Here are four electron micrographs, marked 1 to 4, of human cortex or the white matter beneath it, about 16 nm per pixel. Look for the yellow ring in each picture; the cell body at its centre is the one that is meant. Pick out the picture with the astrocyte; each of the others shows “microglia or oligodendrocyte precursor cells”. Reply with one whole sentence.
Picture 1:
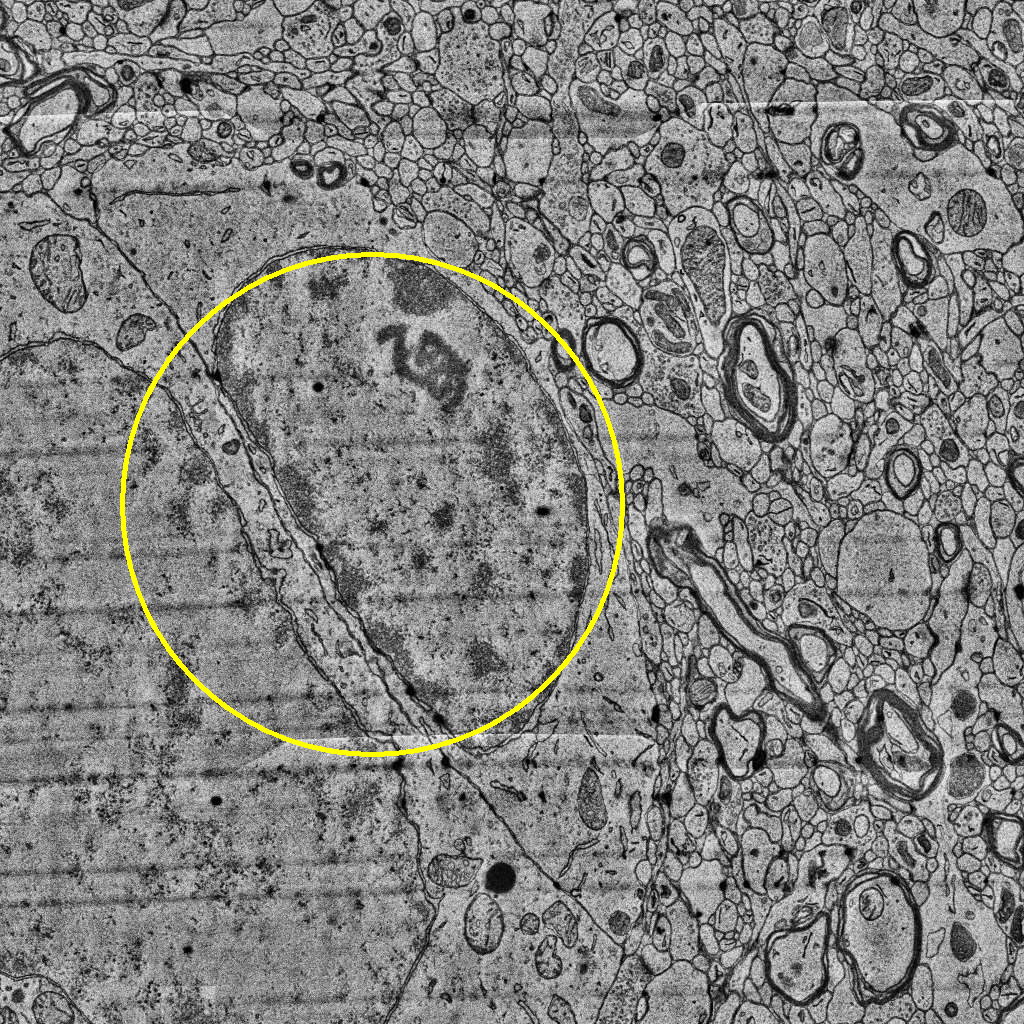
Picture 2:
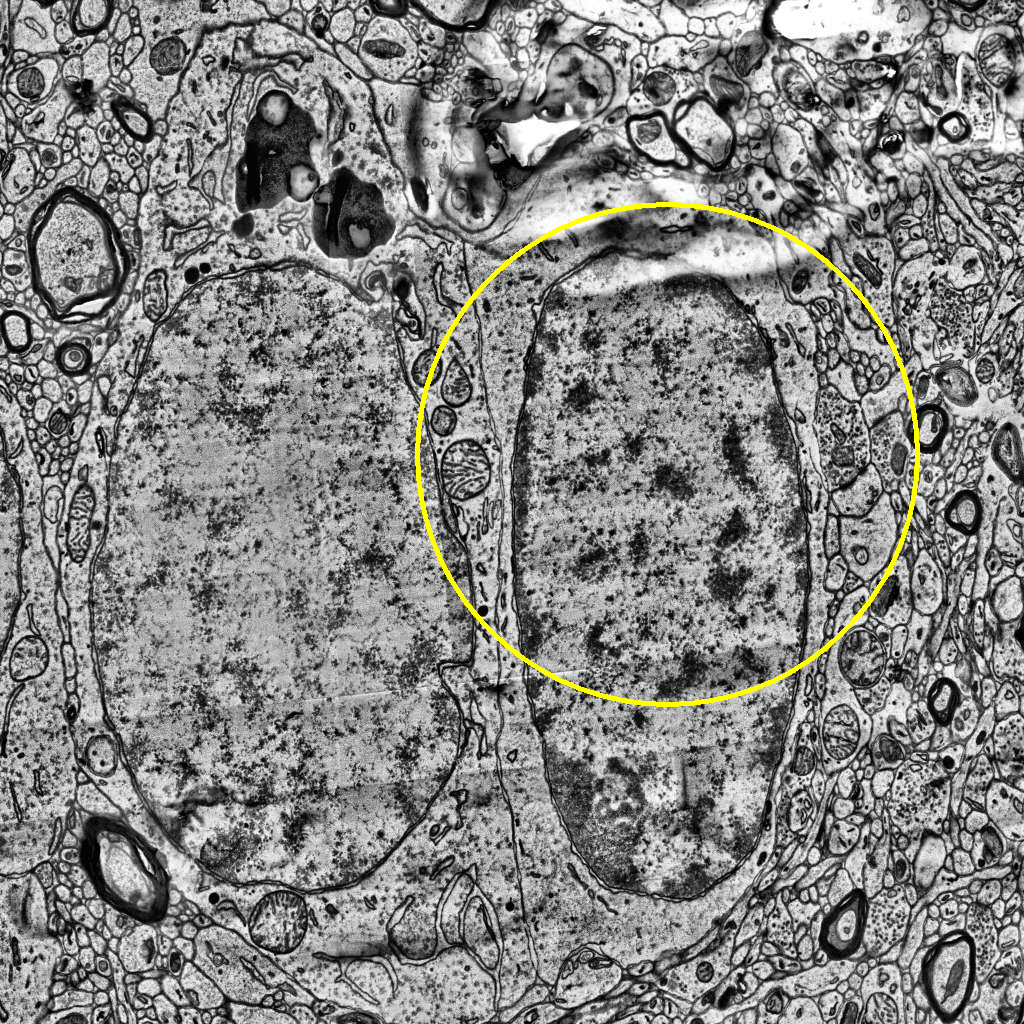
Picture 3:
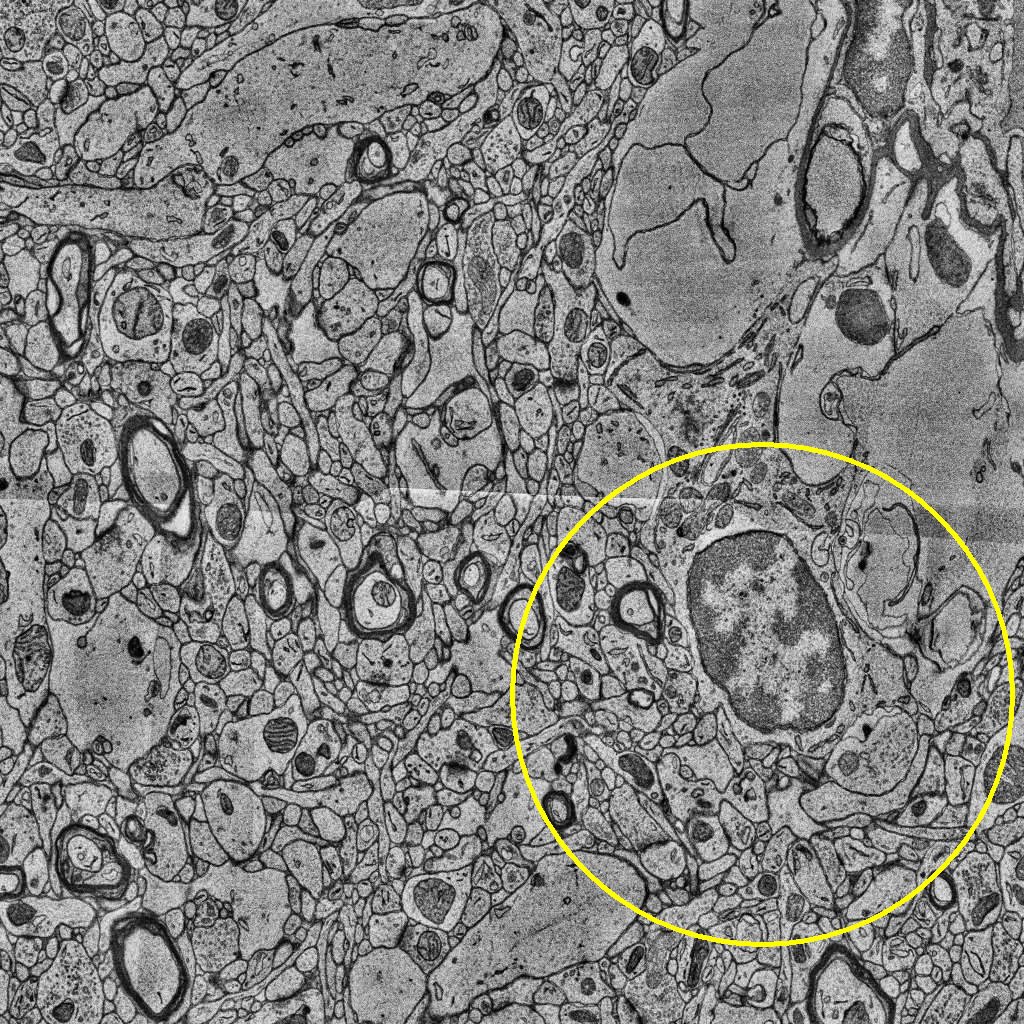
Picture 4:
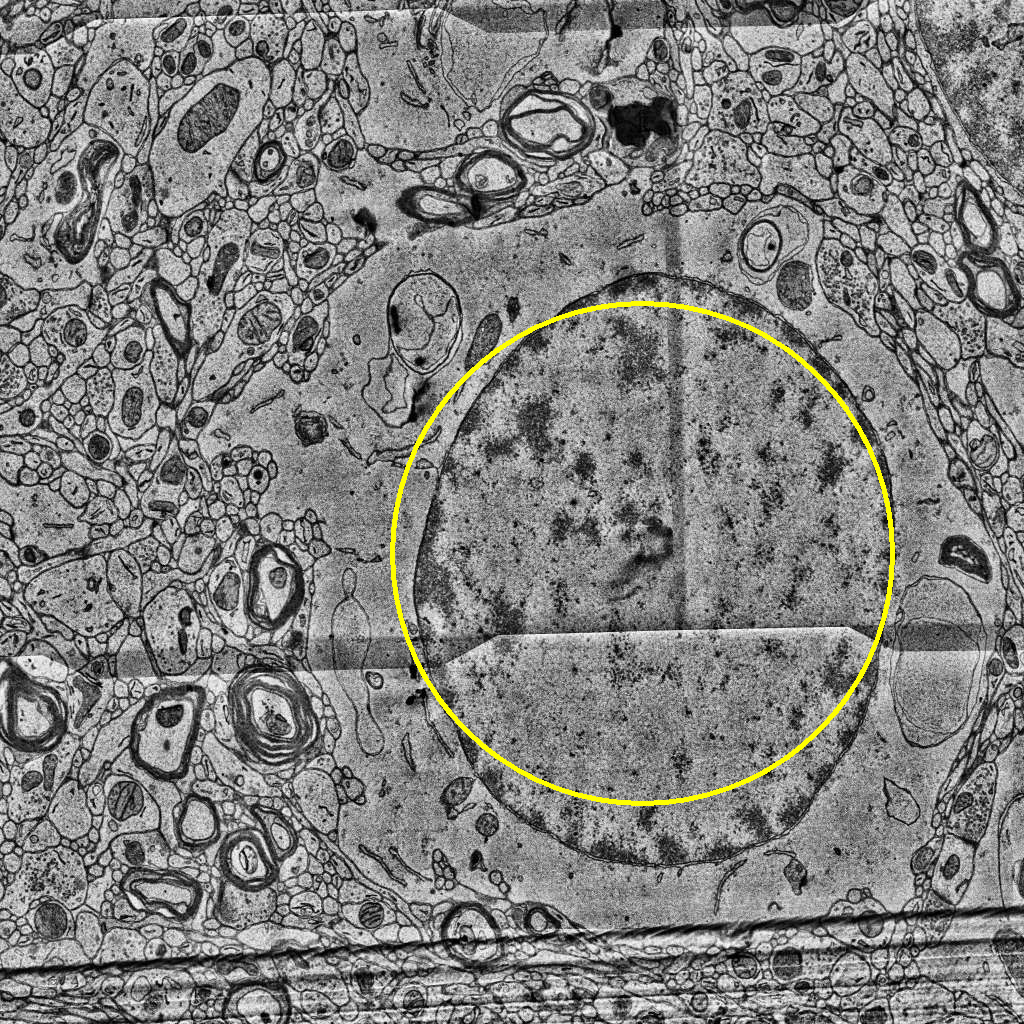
The picture with the astrocyte is 4.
